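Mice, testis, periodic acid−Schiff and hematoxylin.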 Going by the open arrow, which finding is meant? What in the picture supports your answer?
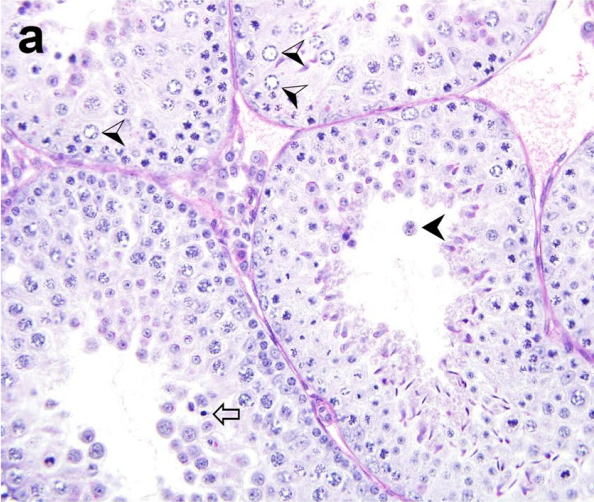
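The marked nucleus is small, round and uniformly very dark. It is denser and smaller than neighbouring germ cell nuclei. That points to this answer: pyknotic nuclei.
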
